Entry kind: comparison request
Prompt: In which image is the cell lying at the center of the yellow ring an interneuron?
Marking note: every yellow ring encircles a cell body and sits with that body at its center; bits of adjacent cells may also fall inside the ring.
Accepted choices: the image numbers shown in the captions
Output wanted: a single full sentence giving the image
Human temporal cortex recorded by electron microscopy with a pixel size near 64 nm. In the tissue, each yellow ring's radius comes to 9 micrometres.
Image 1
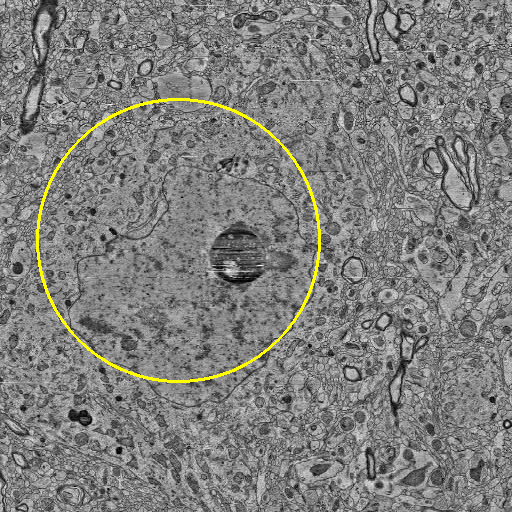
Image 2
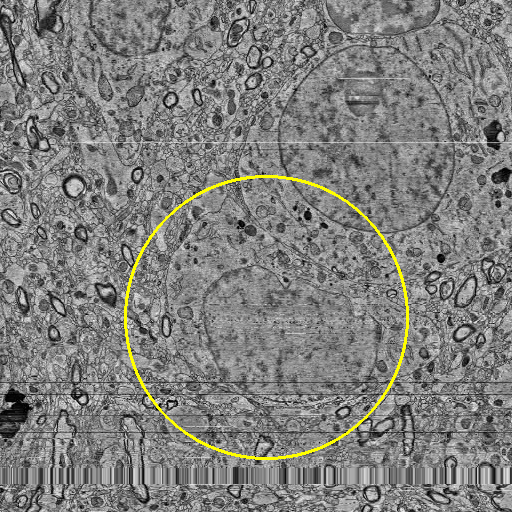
In image 2, the ringed cell at the center matches the prompt.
